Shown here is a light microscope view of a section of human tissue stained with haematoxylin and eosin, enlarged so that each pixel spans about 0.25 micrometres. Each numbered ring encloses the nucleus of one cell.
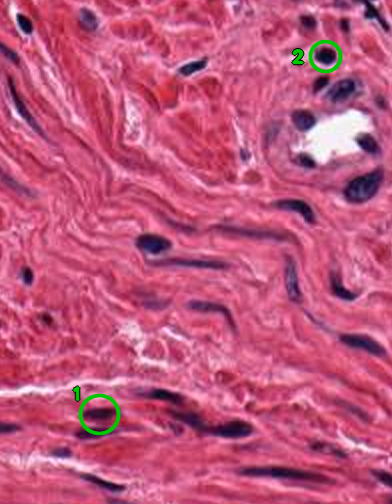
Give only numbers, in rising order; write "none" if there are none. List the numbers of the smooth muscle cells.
1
